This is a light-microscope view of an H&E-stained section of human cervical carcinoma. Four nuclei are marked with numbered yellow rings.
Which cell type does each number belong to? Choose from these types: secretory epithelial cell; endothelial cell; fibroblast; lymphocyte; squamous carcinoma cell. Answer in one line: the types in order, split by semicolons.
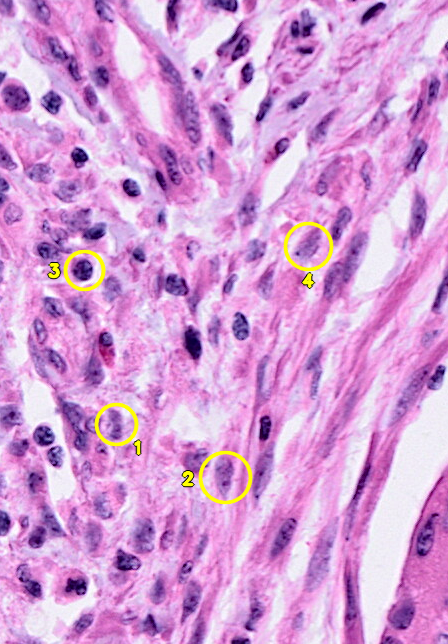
fibroblast; fibroblast; lymphocyte; fibroblast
